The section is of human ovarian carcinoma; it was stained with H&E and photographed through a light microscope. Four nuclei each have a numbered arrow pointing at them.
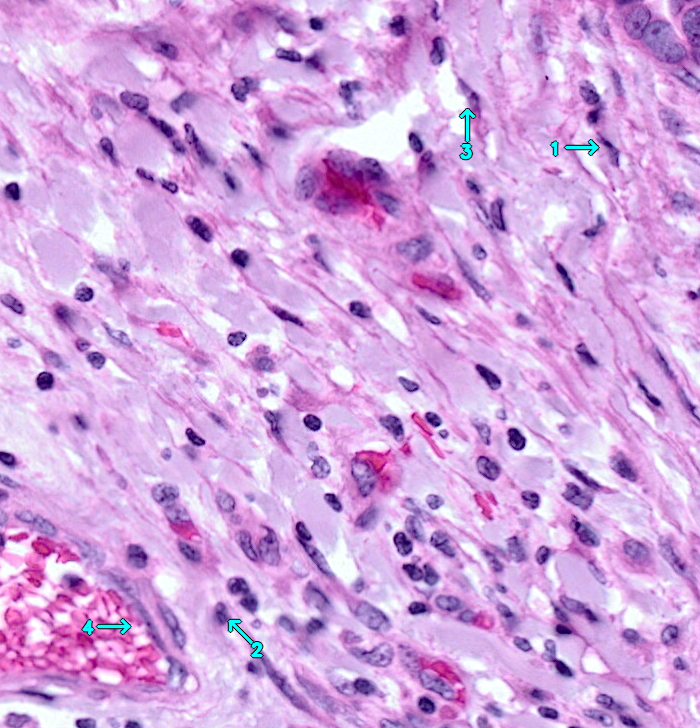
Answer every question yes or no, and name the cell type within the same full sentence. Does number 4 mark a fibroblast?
No, number 4 belongs to an endothelial cell, not to a fibroblast.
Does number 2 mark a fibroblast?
No, the cell given number 2 is a lymphocyte, not a fibroblast.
